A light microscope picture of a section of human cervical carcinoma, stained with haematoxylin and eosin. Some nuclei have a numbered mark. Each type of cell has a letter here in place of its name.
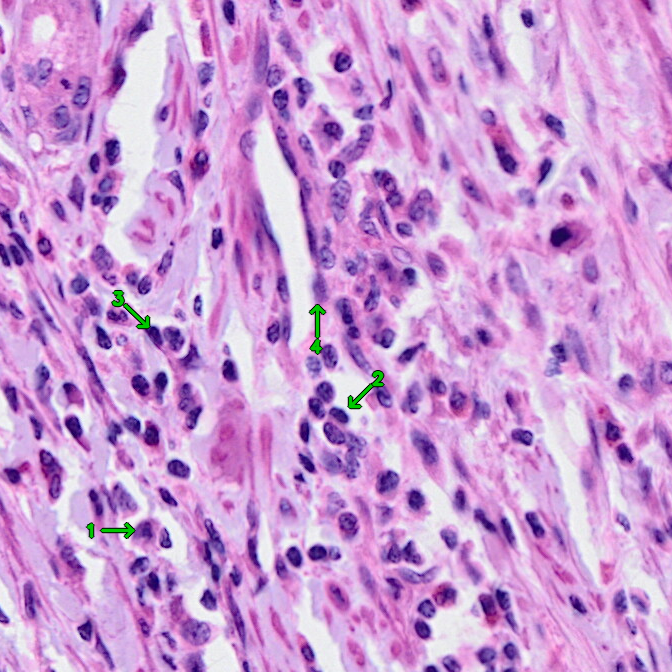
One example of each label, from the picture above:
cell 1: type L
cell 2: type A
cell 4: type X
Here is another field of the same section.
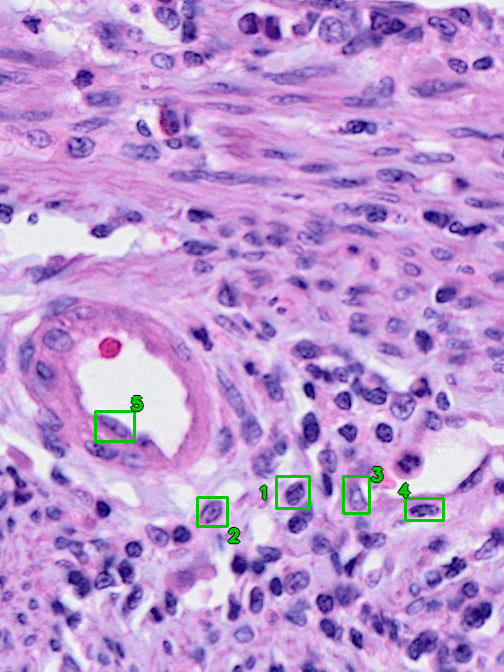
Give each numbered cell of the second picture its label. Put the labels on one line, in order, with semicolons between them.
type A; type L; type X; type A; type X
